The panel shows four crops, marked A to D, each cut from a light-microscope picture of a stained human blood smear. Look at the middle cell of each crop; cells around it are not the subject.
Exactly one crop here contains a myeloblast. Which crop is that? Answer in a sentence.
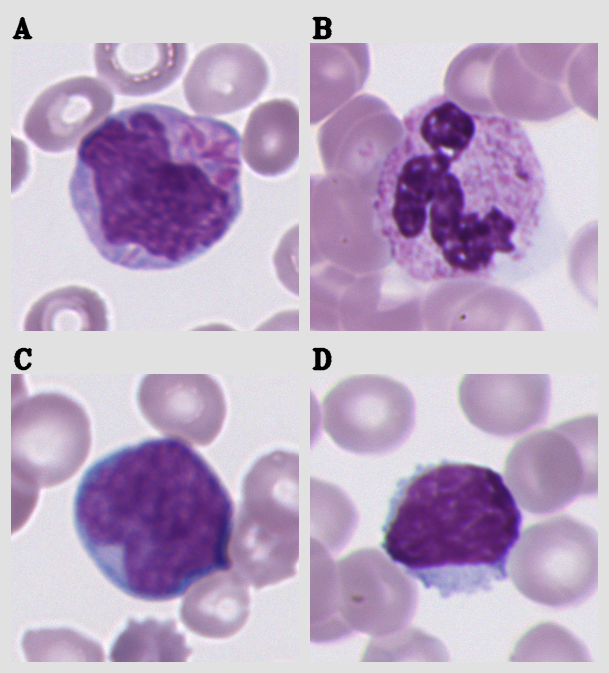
The one showing a myeloblast is crop C.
